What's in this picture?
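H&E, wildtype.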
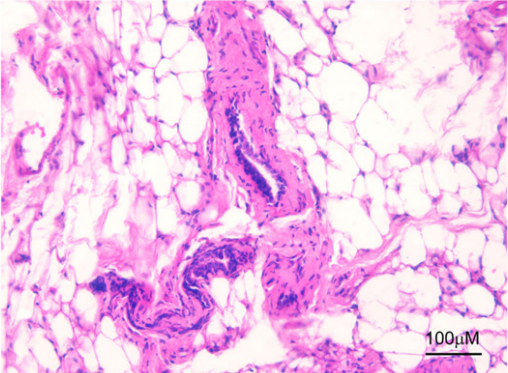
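This is mammary gland tissue in which a few small ducts, lined by a thin layer of epithelial cells with dark purple nuclei, lie within bands of pink fibrous stroma. Around them the field is filled by large fat cells, which look like empty polygonal spaces with thin pink borders.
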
